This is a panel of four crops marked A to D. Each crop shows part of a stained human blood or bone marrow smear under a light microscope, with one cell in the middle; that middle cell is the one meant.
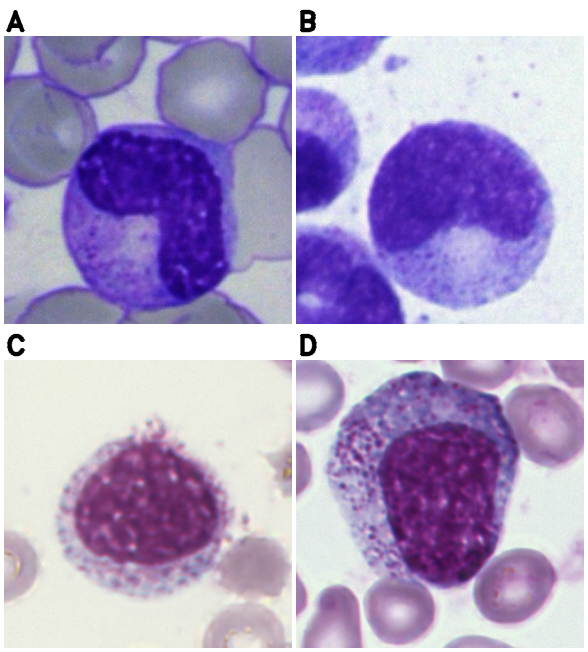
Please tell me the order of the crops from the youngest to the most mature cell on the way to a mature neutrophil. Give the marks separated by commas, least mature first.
D, C, B, A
